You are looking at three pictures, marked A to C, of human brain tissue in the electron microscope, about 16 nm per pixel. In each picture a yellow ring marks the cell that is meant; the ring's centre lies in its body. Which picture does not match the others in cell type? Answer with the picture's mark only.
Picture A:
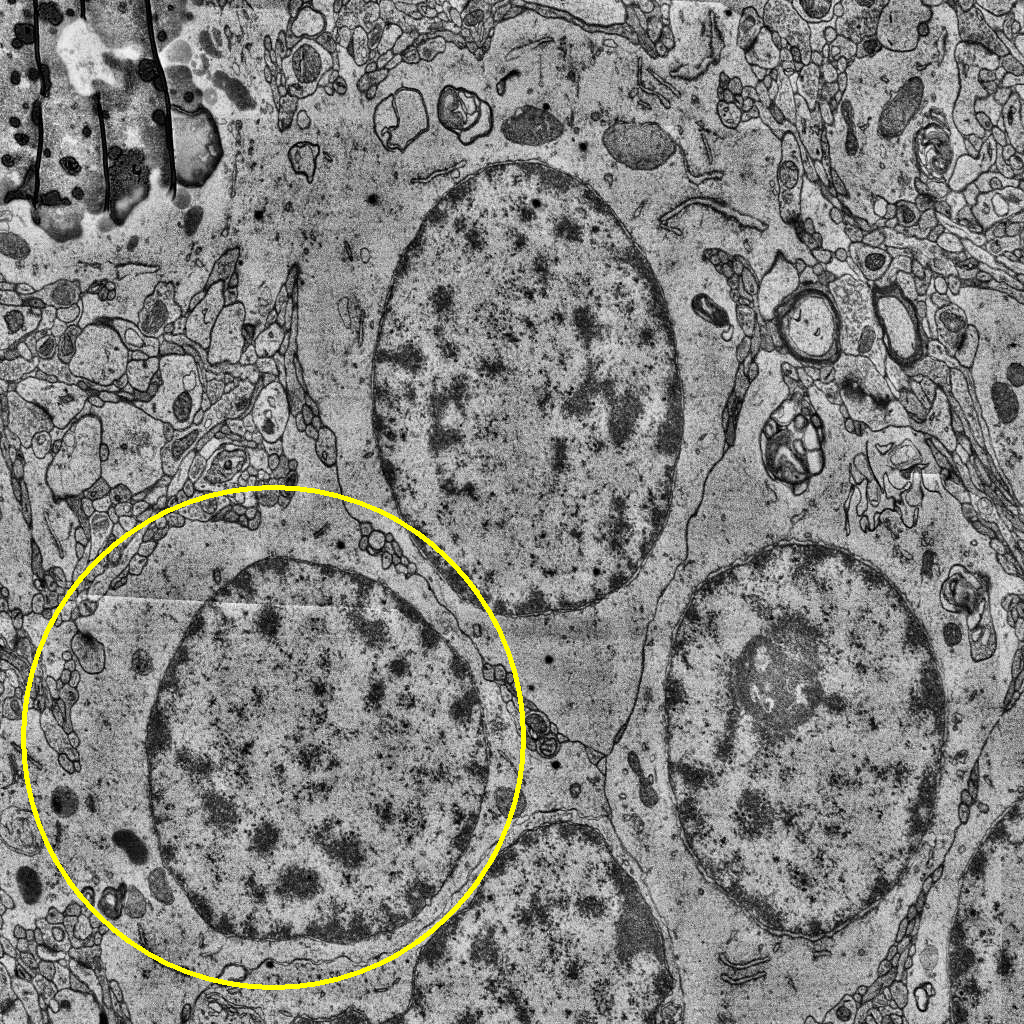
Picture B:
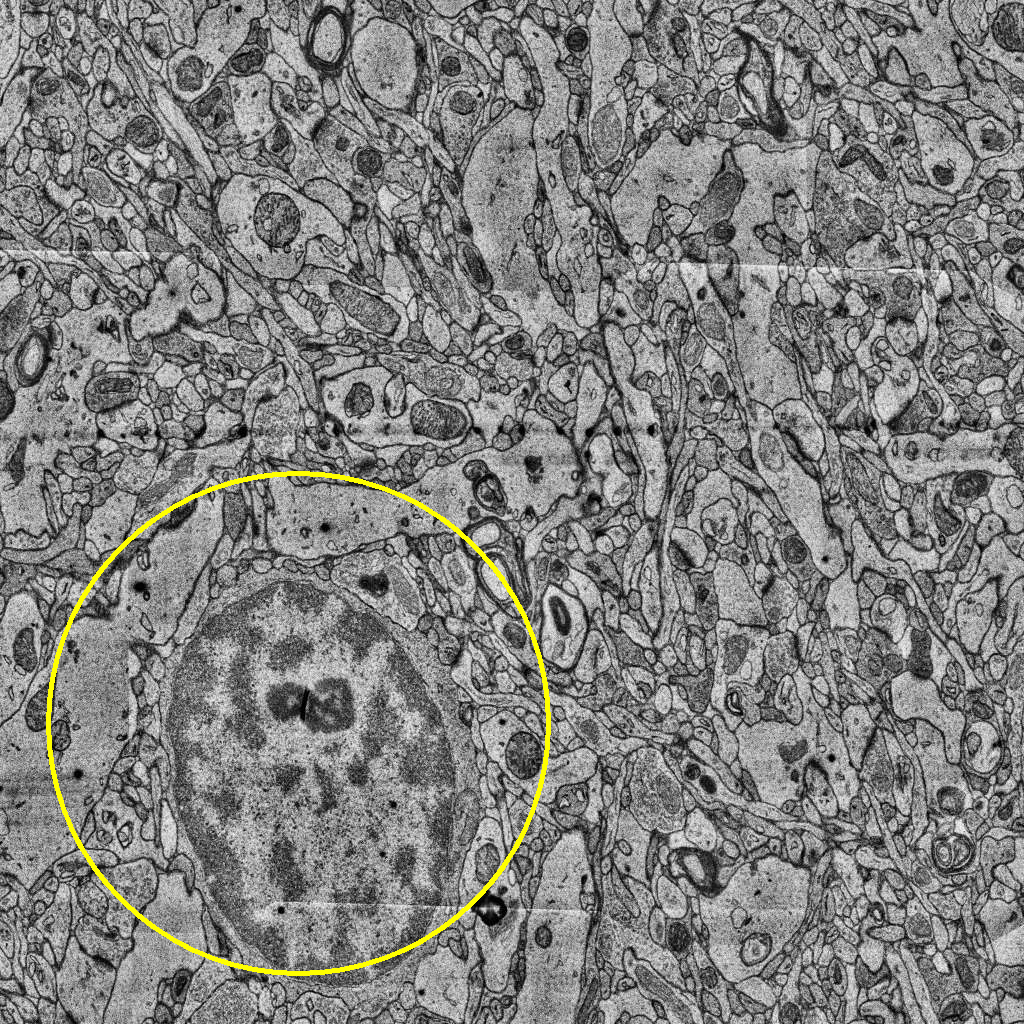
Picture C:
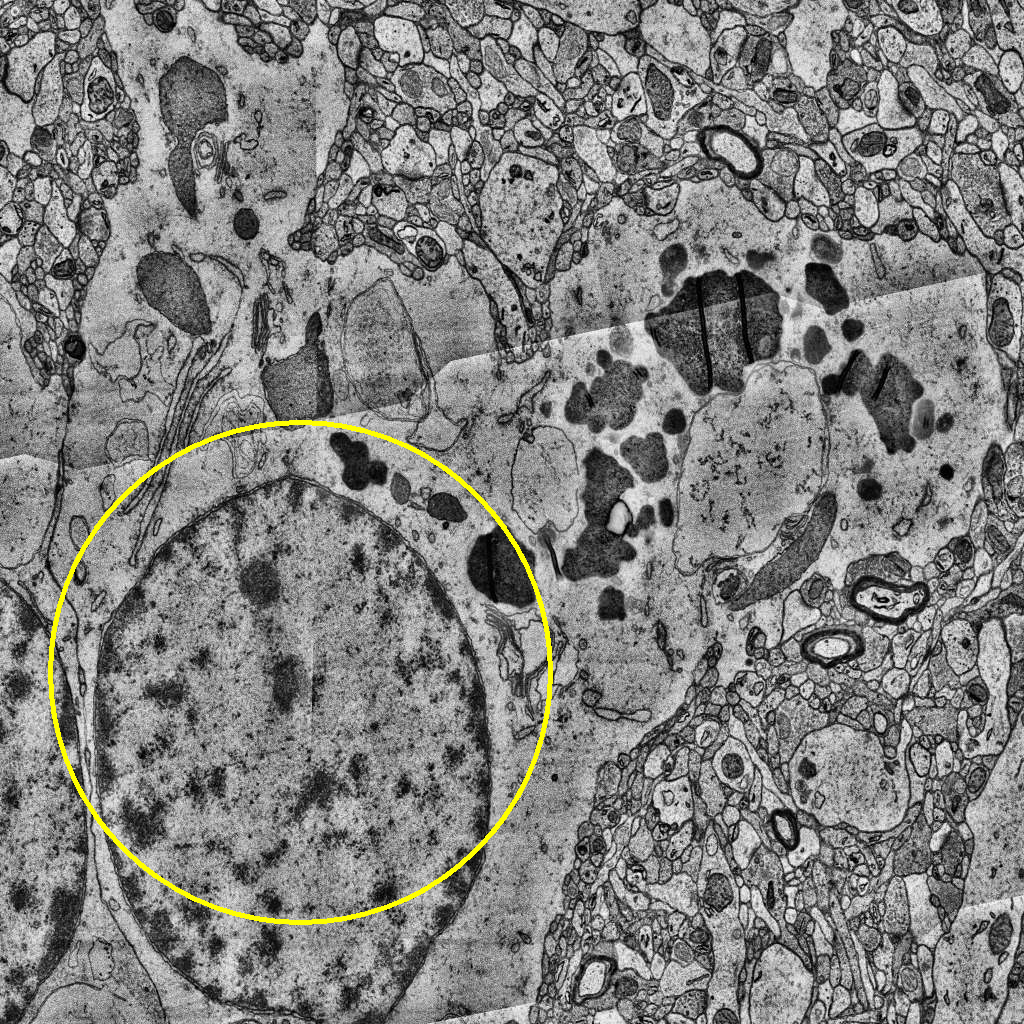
B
